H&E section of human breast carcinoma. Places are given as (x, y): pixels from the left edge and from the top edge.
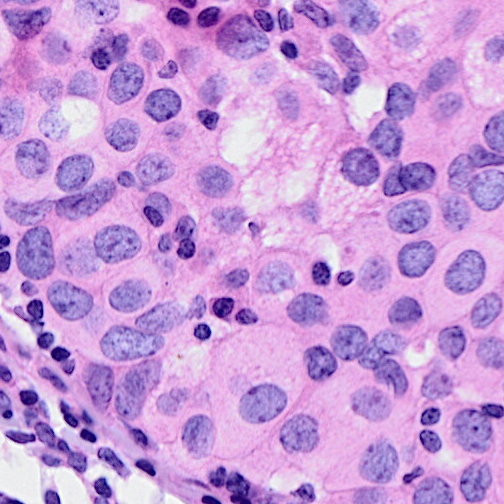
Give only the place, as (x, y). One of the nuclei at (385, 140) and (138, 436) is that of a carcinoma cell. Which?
(385, 140)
